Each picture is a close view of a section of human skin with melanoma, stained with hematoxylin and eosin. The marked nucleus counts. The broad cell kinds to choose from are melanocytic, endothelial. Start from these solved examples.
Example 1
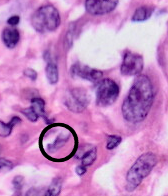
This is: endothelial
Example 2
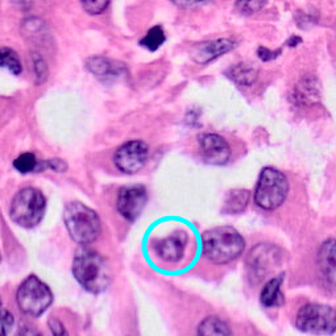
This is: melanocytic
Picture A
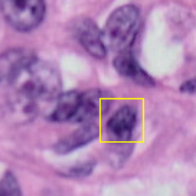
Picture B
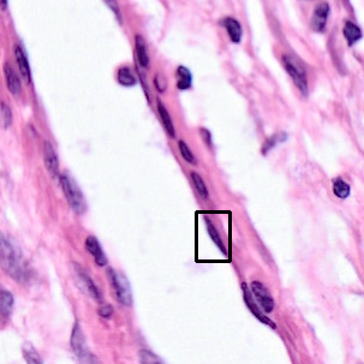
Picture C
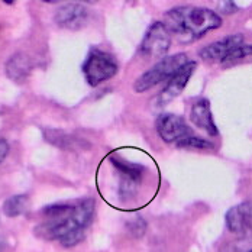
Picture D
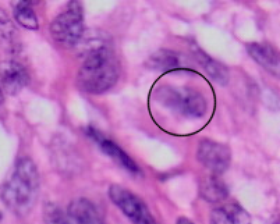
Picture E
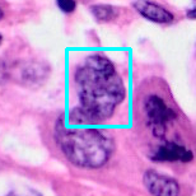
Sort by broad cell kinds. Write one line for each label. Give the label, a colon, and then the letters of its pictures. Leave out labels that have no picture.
melanocytic: A, C, D, E
endothelial: B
